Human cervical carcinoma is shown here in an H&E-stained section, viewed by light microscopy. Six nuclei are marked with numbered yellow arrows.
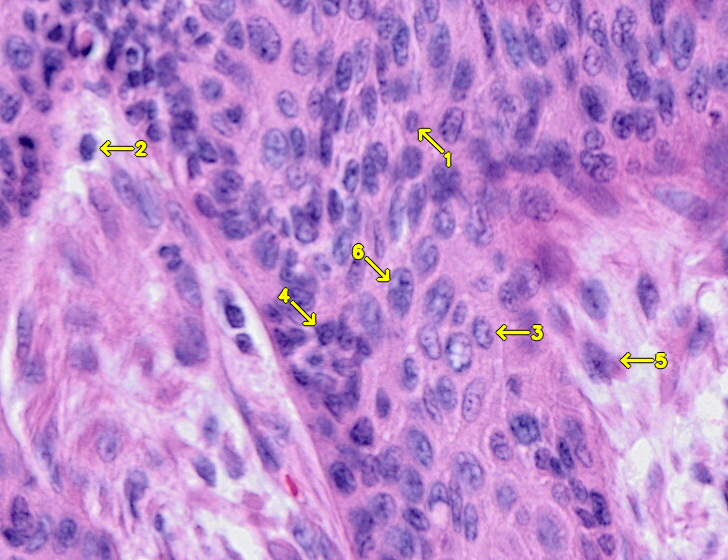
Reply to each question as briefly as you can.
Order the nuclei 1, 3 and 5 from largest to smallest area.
5, 3, 1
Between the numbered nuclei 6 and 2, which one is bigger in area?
6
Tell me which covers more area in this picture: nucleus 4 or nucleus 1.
4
